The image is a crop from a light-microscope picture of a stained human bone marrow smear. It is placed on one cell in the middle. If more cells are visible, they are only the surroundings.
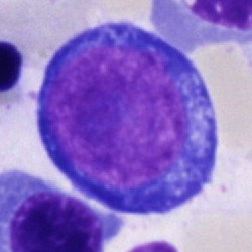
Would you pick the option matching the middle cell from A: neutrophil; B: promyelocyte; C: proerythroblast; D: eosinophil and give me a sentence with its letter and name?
At the centre of the crop lies a proerythroblast, which makes option C correct.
